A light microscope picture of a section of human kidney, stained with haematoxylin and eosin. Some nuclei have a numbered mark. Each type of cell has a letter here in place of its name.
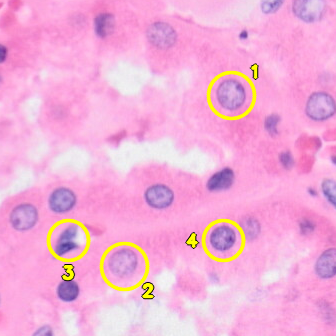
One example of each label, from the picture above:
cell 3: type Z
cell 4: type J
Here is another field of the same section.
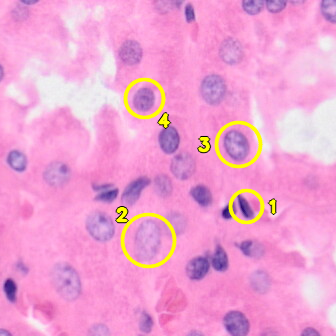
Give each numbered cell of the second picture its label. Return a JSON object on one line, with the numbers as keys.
{"1": "type Z", "2": "type J", "3": "type J", "4": "type J"}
